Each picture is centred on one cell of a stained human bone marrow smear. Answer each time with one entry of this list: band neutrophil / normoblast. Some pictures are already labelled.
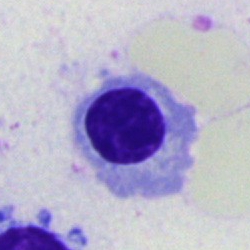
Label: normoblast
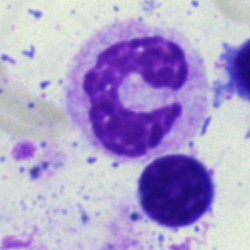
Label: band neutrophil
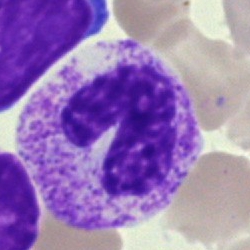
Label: band neutrophil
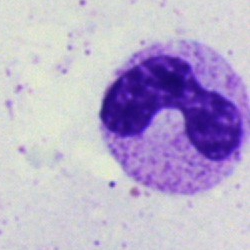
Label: band neutrophil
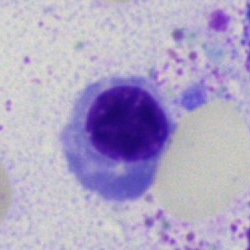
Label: normoblast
